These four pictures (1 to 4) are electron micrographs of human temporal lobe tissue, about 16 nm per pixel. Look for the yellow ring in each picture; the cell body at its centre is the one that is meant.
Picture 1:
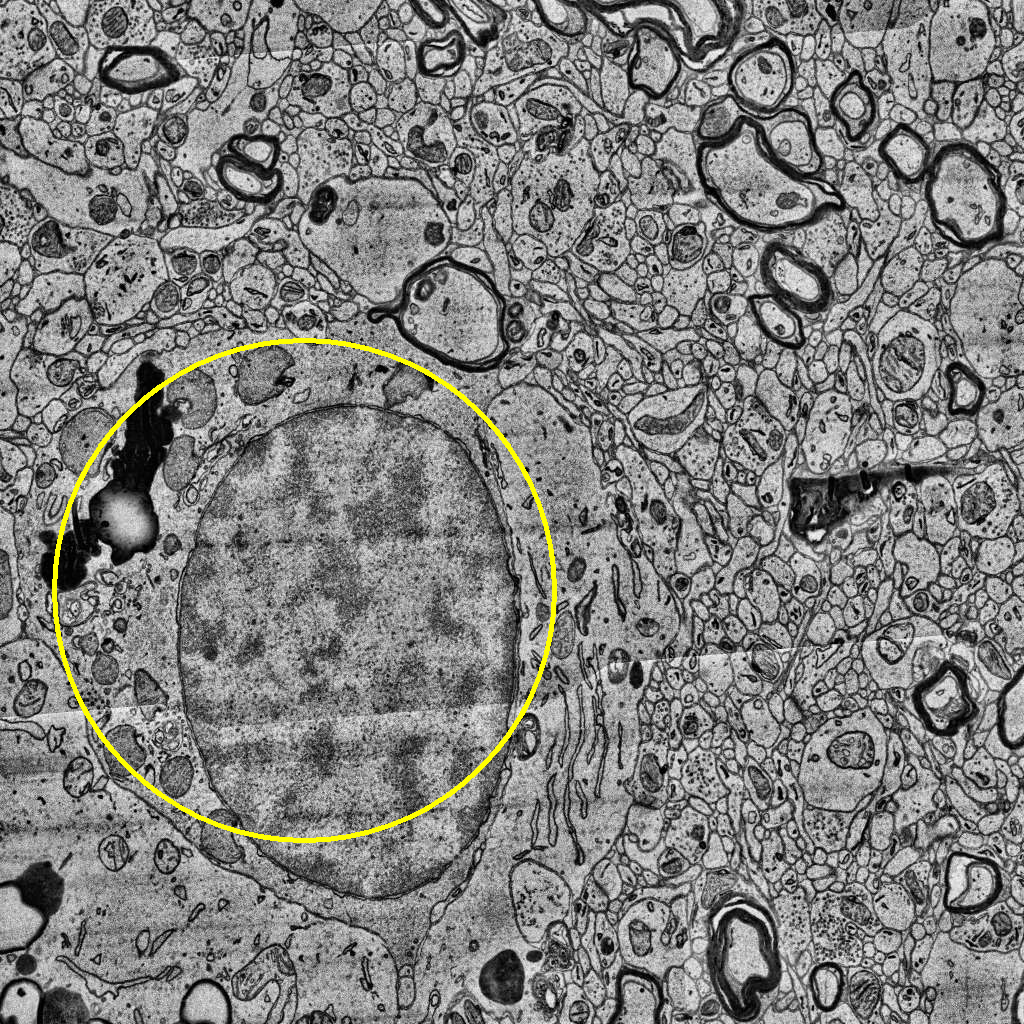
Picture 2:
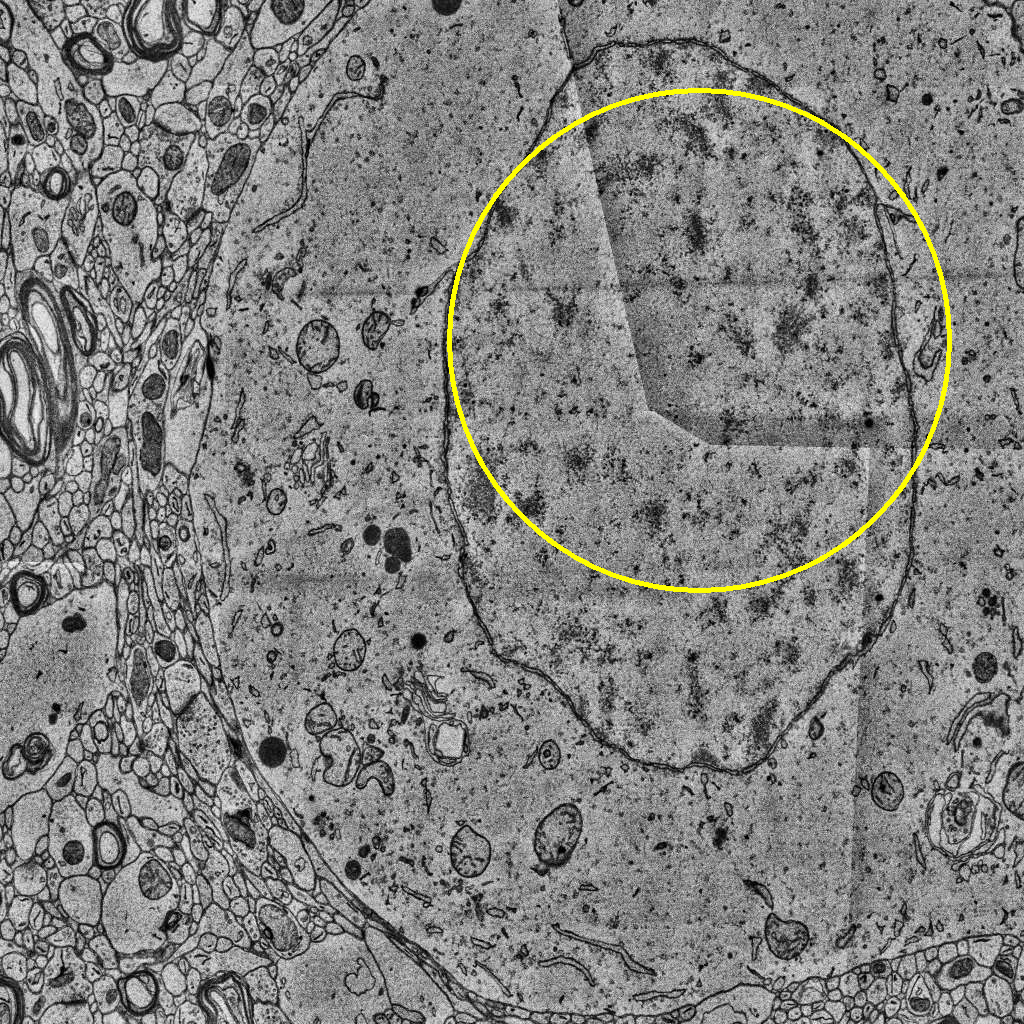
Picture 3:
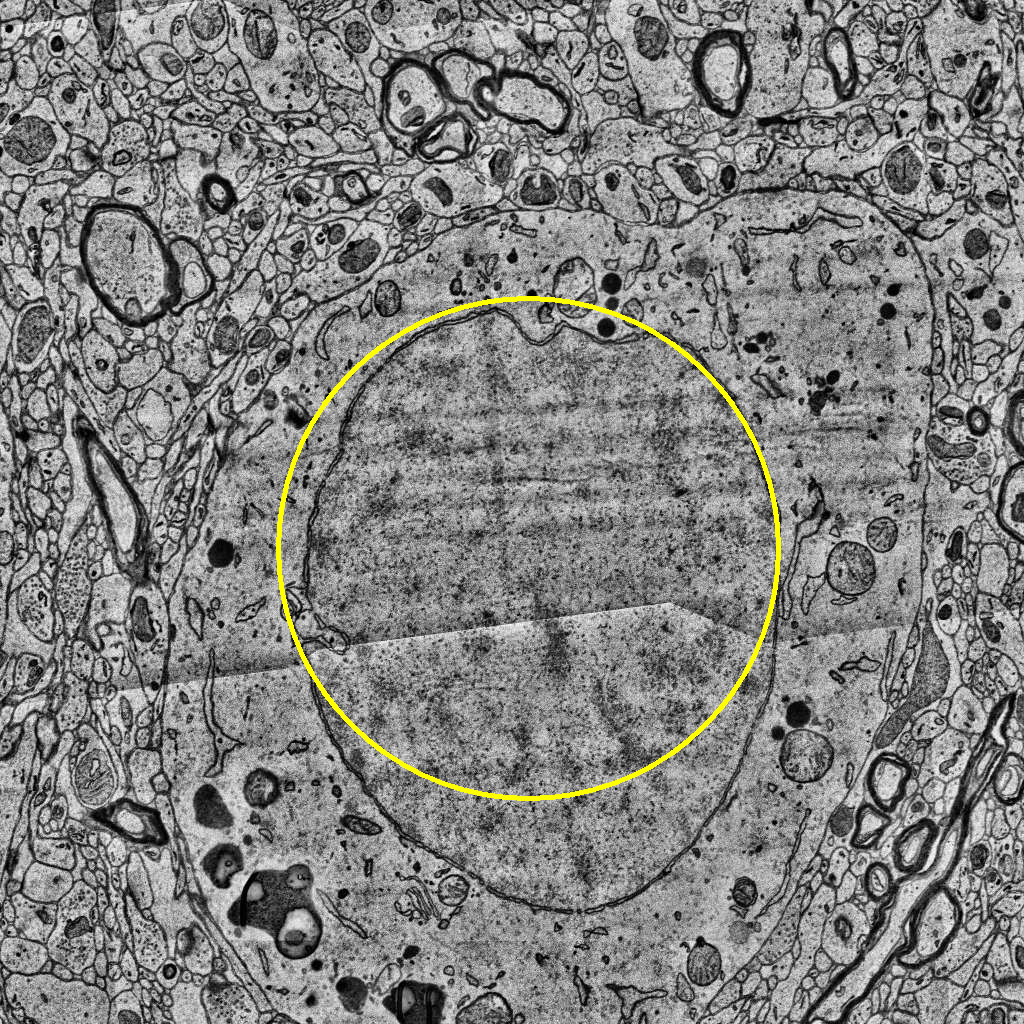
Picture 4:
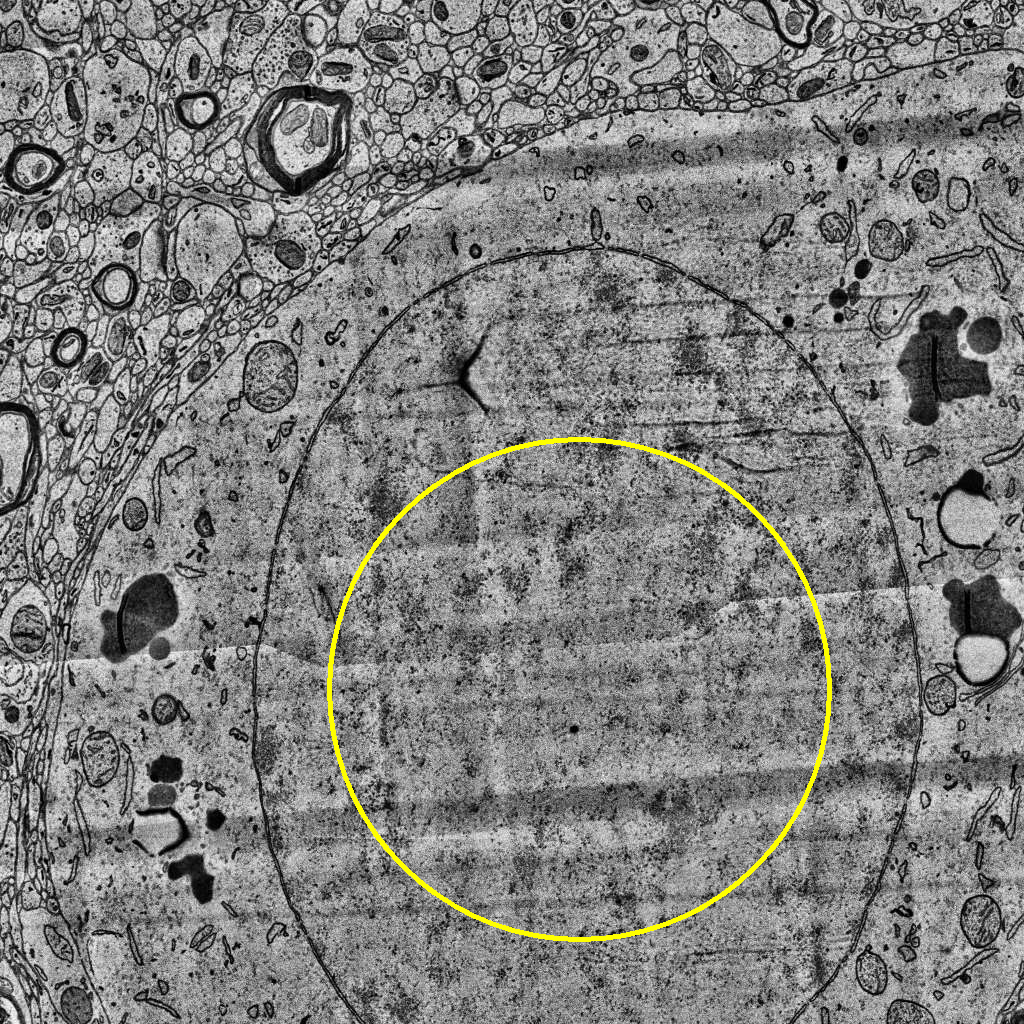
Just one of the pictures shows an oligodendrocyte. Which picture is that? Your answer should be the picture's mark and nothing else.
1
